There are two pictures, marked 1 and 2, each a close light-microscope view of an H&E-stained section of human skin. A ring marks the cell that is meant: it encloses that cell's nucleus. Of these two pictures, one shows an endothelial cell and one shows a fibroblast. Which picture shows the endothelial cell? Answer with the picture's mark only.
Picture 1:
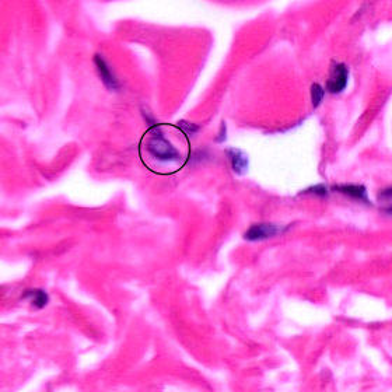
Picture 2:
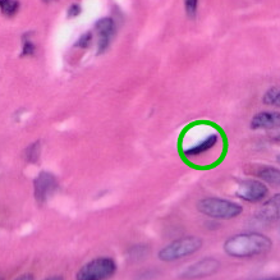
1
